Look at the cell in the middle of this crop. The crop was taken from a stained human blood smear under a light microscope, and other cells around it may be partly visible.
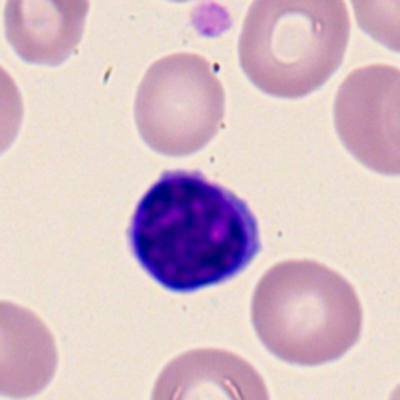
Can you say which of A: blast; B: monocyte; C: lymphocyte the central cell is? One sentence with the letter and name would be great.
Given that the cell in the middle is a lymphocyte, option C is correct.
